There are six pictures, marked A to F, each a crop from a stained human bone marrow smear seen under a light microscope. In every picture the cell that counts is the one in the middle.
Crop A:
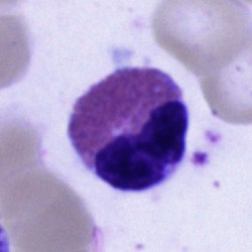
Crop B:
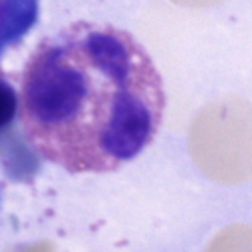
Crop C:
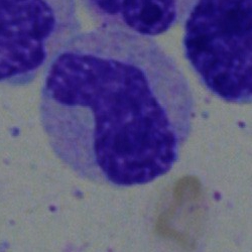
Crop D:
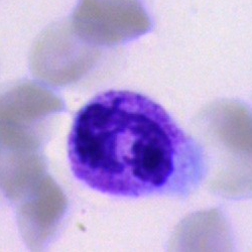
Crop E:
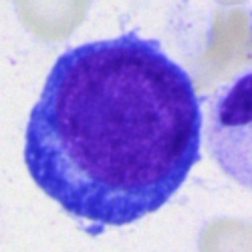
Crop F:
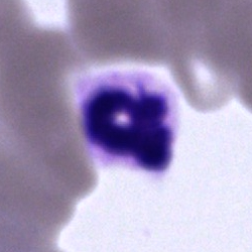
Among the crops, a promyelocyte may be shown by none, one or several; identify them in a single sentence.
What is shown in the crops does not include a promyelocyte.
